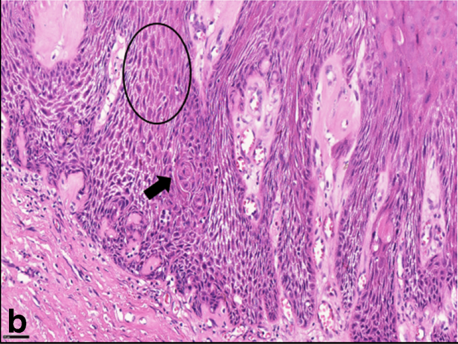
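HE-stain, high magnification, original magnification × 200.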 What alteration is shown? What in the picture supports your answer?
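Long, narrow epithelial ridges extend downward into the stroma. Stromal papillae with small vessels lie between the ridges.
Elongated rete ridges.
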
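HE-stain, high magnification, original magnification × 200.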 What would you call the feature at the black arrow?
deep squamous eddies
